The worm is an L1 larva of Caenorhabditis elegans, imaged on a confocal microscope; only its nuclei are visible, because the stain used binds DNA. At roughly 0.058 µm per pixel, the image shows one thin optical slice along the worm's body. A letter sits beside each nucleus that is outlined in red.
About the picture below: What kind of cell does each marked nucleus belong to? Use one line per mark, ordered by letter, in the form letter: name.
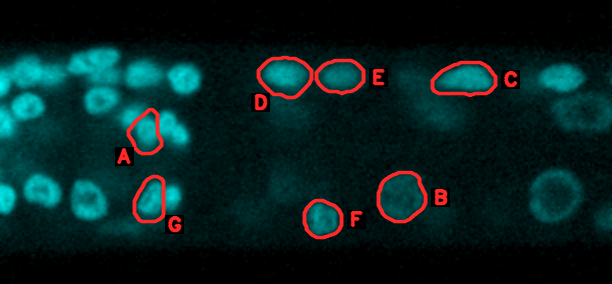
A: pharyngeal muscle cell
B: intestinal cell
C: neuron
D: neuron
E: neuron
F: body wall muscle cell
G: valve cell of the gut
